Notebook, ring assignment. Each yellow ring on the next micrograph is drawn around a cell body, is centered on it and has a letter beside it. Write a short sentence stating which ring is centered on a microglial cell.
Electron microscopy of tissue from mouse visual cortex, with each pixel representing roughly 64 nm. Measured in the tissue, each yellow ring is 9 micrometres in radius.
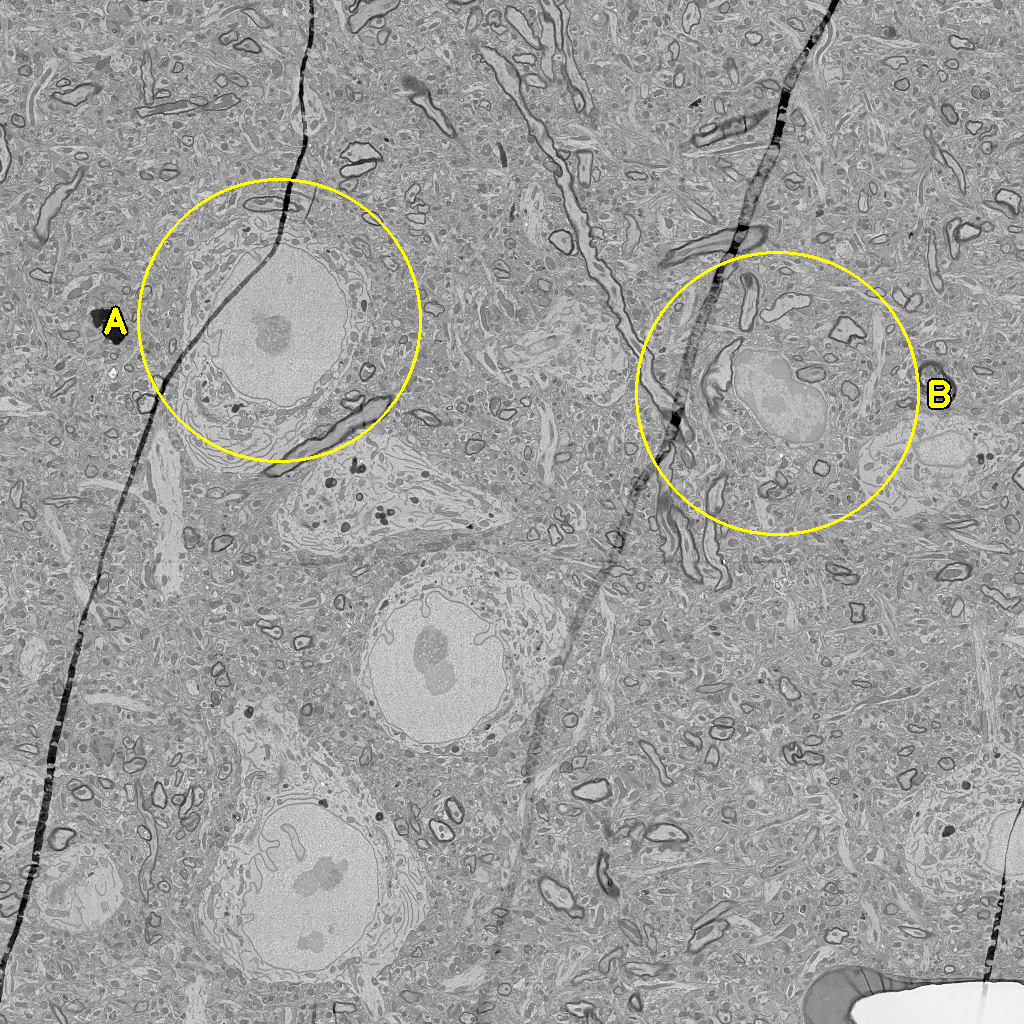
Ring B is centered on it.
